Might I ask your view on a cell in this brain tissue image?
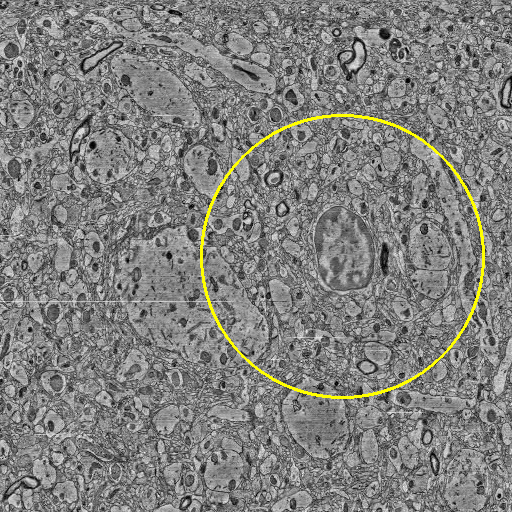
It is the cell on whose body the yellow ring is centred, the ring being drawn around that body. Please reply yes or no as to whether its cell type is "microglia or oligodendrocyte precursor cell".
yes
